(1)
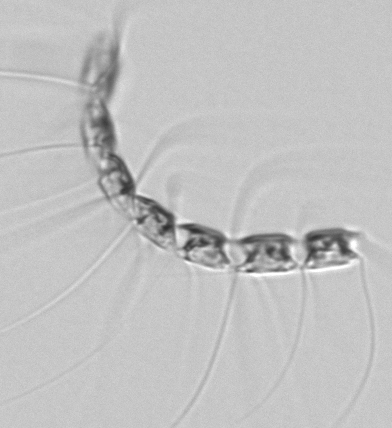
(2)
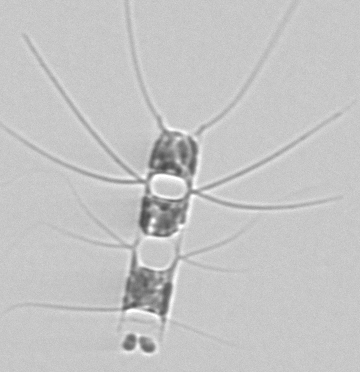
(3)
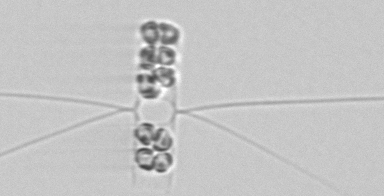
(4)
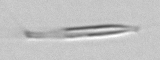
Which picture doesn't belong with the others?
Picture 4.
